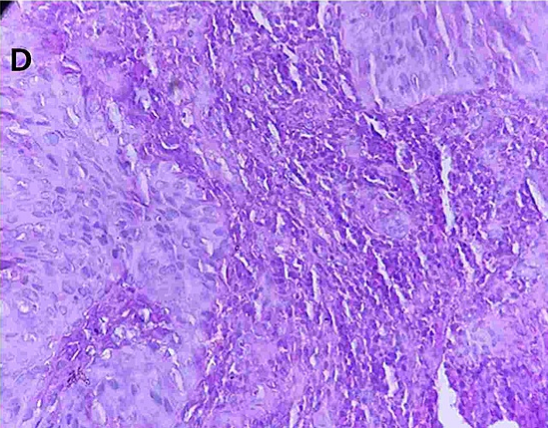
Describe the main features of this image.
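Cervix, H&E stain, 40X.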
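This is nonkeratinizing squamous epithelium arranged as nests of large polygonal cells. No keratin pearls are seen. Between and around the nests lie bands crowded with small dark round nuclei of an inflammatory infiltrate.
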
